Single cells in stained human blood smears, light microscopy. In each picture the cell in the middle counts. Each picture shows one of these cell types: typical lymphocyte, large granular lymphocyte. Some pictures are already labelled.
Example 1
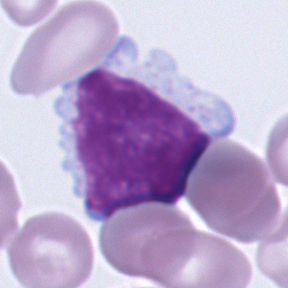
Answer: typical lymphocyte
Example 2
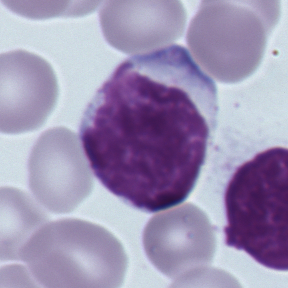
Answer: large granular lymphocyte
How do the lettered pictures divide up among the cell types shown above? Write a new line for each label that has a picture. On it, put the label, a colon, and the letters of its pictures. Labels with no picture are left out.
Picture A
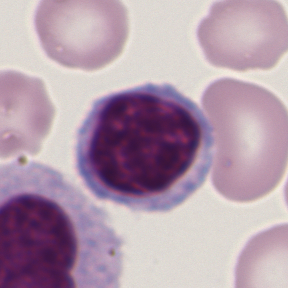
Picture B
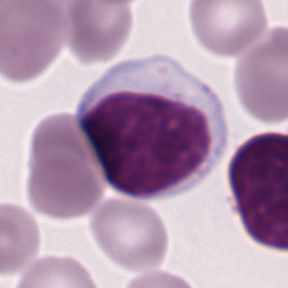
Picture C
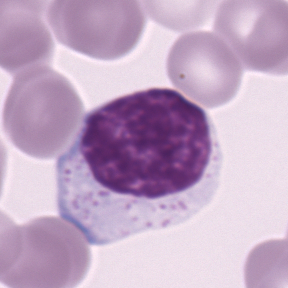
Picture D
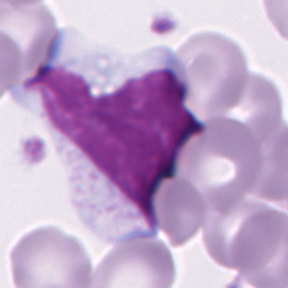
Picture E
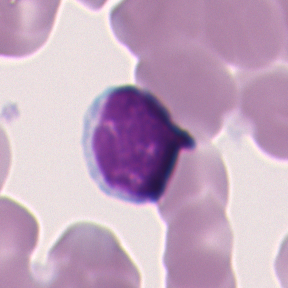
typical lymphocyte: A, E
large granular lymphocyte: B, C, D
